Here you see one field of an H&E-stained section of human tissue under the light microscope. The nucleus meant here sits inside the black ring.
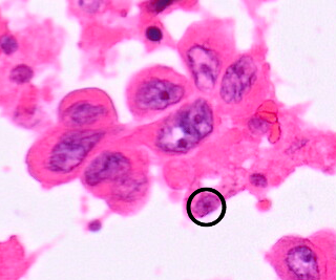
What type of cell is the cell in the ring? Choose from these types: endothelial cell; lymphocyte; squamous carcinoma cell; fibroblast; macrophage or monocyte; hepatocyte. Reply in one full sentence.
This is a macrophage or monocyte.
